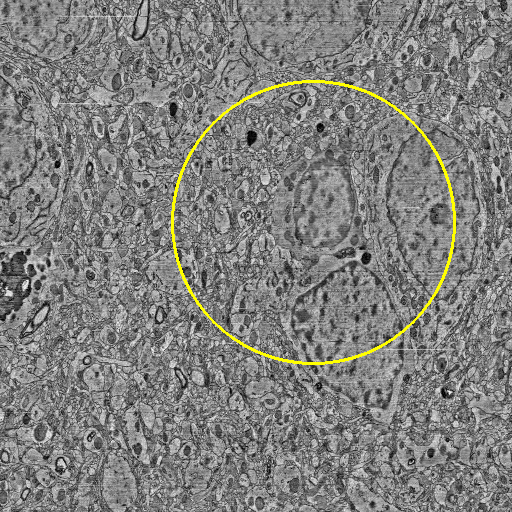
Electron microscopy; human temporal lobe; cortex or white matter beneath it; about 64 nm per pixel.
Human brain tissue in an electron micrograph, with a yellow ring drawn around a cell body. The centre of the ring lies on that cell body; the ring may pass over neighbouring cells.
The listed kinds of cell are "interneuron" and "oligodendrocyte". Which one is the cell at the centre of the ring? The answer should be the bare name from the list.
oligodendrocyte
